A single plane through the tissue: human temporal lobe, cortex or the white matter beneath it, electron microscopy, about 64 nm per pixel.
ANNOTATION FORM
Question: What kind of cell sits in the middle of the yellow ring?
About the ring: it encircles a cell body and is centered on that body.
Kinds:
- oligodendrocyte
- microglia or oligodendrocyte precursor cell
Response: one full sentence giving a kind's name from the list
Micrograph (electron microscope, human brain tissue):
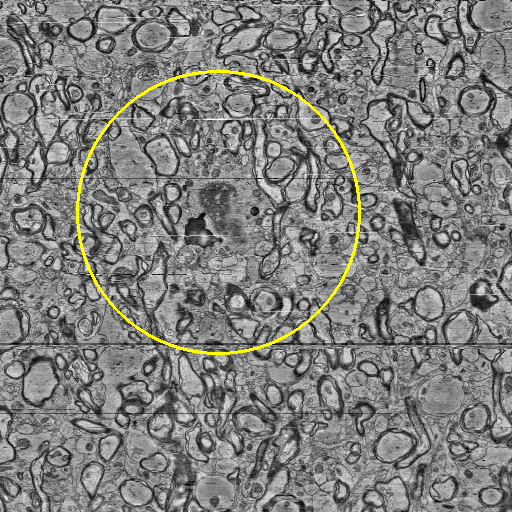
The kind of cell found at the center of the yellow ring in the micrograph is an oligodendrocyte.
